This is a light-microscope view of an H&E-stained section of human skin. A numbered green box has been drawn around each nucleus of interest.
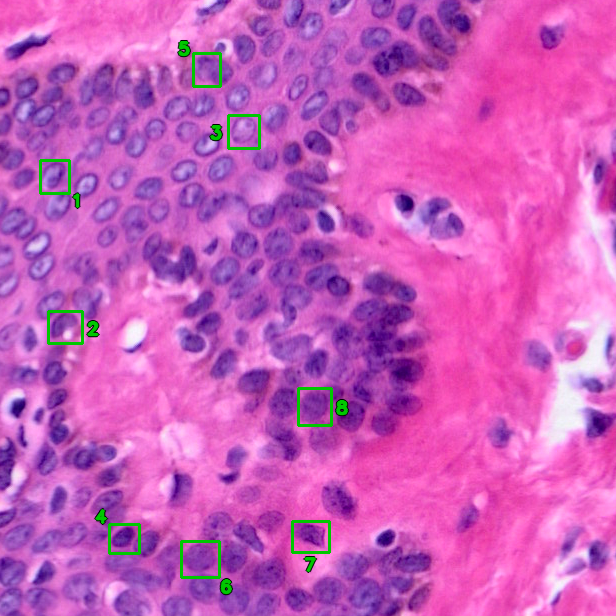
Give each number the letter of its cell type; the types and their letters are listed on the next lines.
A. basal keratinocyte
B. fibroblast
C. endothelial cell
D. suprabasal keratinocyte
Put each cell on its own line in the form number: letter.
1: D
2: A
3: D
4: A
5: A
6: A
7: B
8: A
